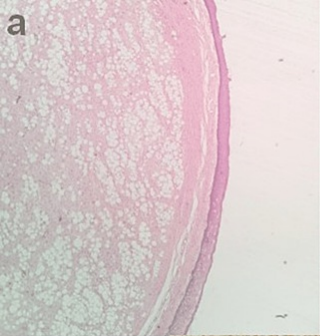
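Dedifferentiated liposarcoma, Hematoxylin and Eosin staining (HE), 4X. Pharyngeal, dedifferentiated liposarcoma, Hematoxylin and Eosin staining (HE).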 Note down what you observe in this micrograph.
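At low power, a broad area of fatty tumor tissue made of many clear vacuoles fills most of the field. The vacuoles are separated by thin pink strands of stroma. Along the right edge runs a thin, darker pink-purple surface lining of mucosa with a narrow band of denser pink tissue beneath it. The fatty tissue reaches close up to this lining.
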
